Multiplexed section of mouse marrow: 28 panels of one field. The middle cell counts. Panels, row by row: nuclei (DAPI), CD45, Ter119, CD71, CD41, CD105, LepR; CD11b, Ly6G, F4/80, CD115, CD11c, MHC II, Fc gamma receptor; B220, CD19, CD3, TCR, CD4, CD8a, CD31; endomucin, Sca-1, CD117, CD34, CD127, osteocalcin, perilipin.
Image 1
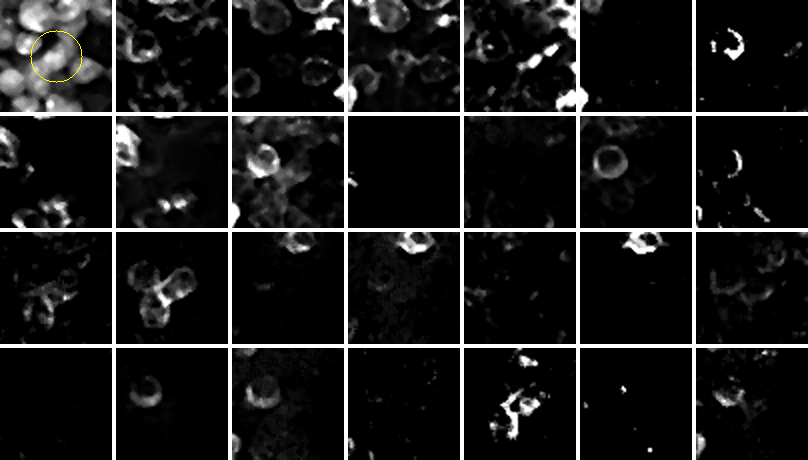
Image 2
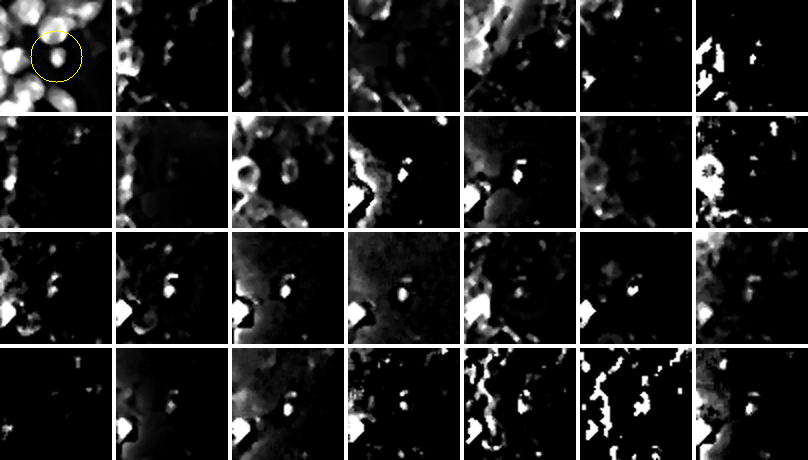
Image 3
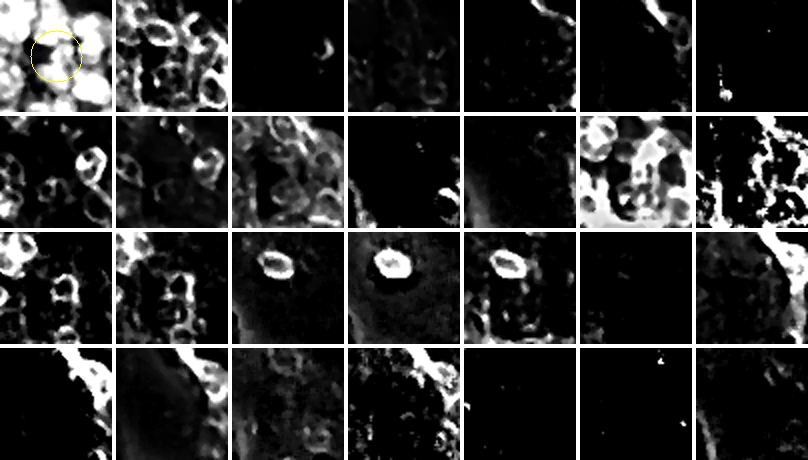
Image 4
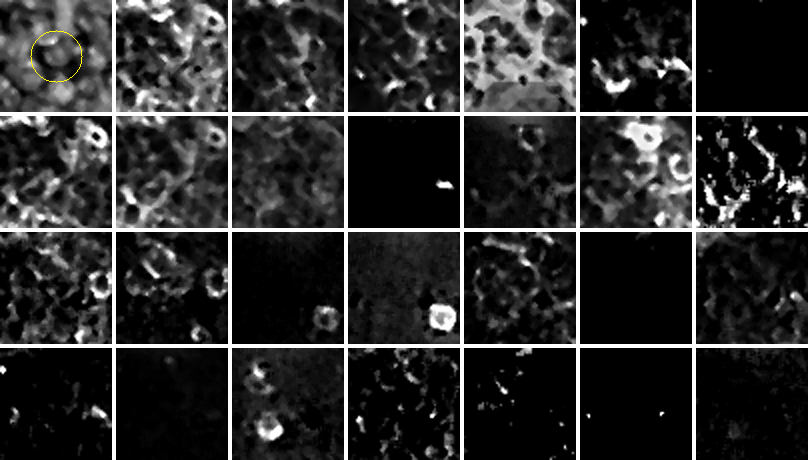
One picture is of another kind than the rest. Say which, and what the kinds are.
Picture 4 shows a neutrophil; the rest show B cells.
